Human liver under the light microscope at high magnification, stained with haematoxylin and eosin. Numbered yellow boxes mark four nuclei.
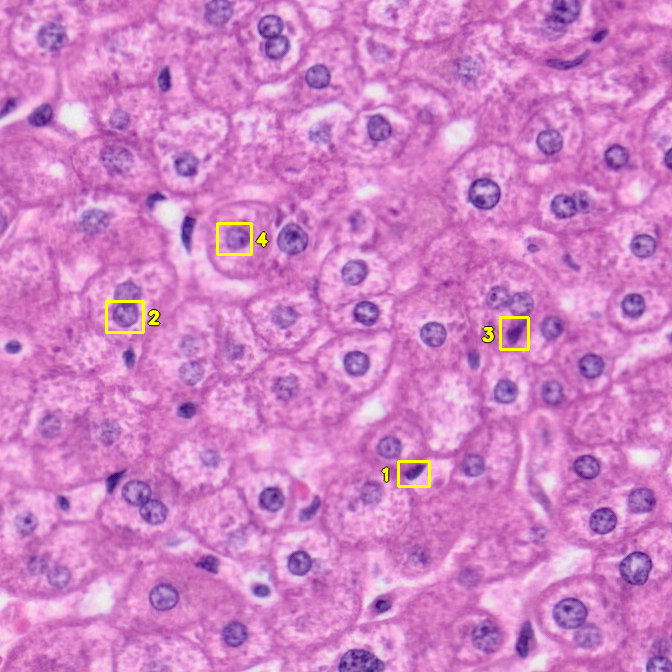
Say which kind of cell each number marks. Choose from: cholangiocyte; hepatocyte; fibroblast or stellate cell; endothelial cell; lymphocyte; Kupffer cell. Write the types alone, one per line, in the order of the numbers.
endothelial cell
hepatocyte
fibroblast or stellate cell
hepatocyte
